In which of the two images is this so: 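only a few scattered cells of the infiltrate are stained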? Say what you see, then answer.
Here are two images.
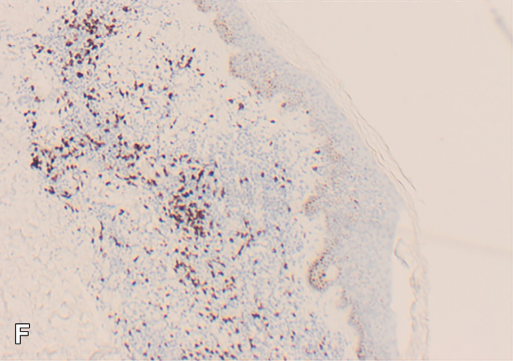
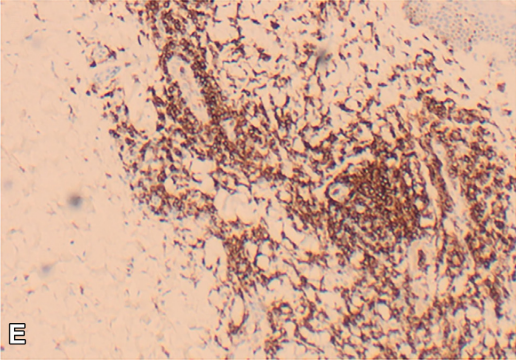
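The first image. First image: only scattered dark-stained cells among a mostly pale infiltrate. Second image: the infiltrate is densely and diffusely stained brown.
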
